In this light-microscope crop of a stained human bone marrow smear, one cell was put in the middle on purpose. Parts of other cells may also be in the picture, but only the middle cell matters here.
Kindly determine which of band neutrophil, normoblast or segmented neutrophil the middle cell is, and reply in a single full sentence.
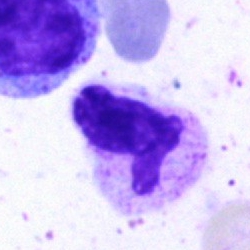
Of the cells in this crop, the central one is a segmented neutrophil.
